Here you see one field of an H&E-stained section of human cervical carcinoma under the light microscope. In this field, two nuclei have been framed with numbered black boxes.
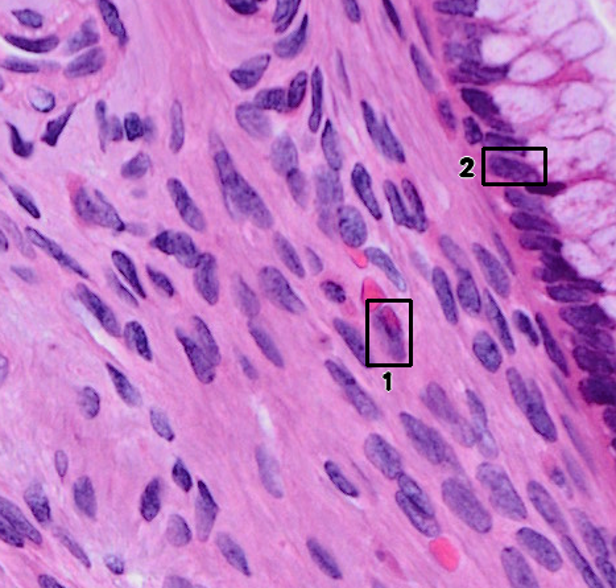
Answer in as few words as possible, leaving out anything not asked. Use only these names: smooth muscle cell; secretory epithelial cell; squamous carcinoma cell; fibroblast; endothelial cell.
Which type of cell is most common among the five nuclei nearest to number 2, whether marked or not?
secretory epithelial cell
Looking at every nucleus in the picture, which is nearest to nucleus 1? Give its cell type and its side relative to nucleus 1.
a fibroblast; to the left of nucleus 1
